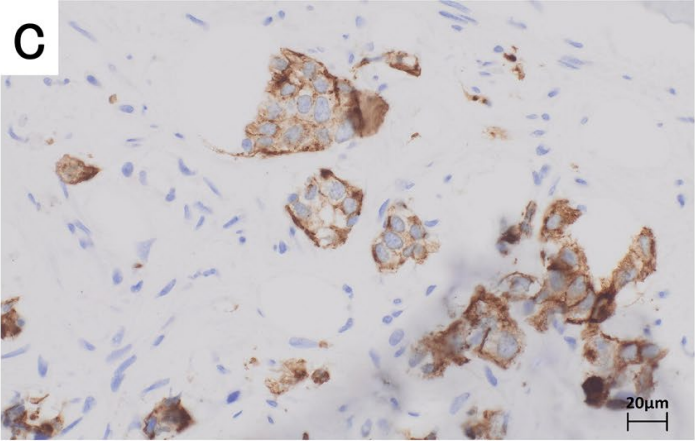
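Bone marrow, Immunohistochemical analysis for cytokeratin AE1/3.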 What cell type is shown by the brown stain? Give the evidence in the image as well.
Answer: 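Brown staining outlines the cytoplasm and membranes of cells in small nests. The stained cells have large round to oval nuclei. Scattered slender spindle nuclei in the surrounding pale stroma are unstained. On this evidence: tumor cells.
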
